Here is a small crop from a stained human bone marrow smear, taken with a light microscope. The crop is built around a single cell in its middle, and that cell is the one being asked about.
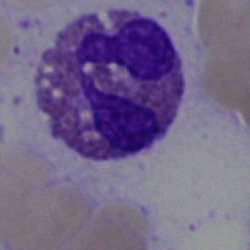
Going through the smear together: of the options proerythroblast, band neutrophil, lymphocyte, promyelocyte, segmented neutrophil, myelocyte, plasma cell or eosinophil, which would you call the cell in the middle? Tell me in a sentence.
The cell sitting right in the middle is an eosinophil.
